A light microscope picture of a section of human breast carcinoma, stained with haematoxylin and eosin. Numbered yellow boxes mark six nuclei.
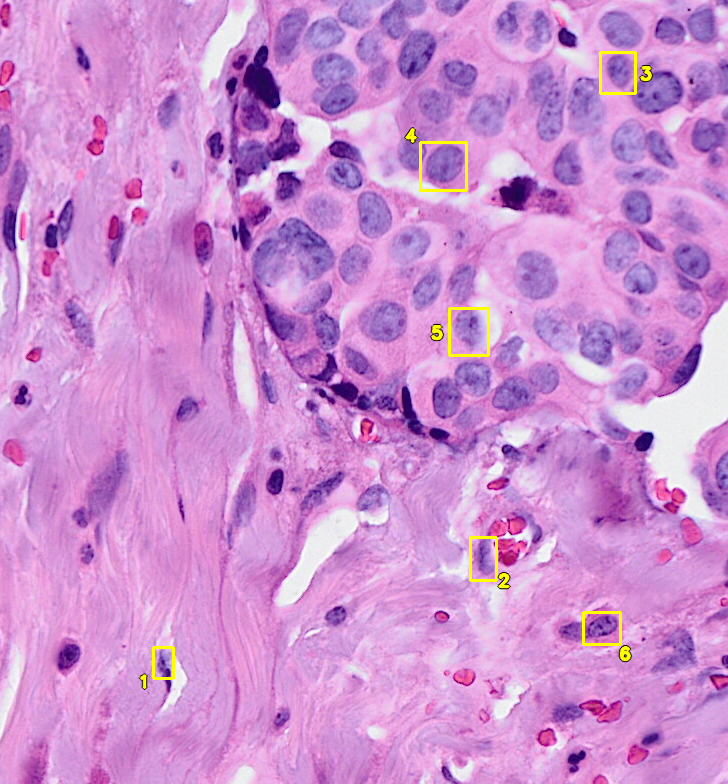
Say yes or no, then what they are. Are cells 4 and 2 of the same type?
No, cell 4 is a carcinoma cell and cell 2 is an endothelial cell.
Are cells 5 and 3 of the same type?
Yes, both are carcinoma cells.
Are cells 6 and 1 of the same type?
No, cell 6 is a mast cell and cell 1 is a fibroblast.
